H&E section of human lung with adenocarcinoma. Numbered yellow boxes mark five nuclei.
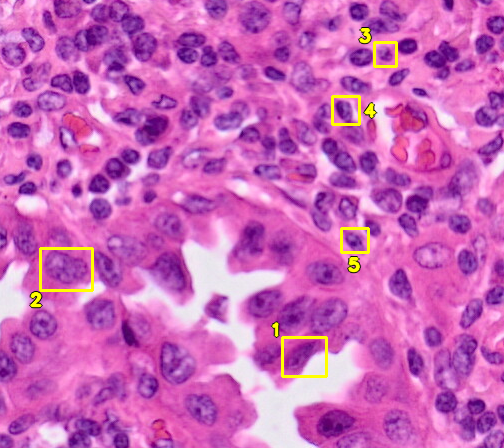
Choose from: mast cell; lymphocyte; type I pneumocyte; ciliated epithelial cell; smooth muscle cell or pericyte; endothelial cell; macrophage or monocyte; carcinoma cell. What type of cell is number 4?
lymphocyte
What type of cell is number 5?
lymphocyte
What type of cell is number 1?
carcinoma cell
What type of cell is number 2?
carcinoma cell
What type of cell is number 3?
lymphocyte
